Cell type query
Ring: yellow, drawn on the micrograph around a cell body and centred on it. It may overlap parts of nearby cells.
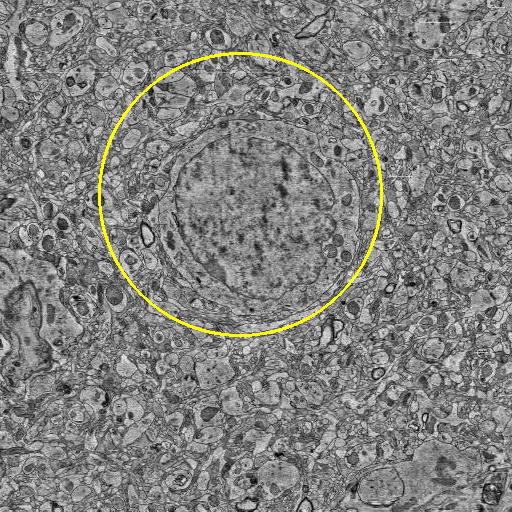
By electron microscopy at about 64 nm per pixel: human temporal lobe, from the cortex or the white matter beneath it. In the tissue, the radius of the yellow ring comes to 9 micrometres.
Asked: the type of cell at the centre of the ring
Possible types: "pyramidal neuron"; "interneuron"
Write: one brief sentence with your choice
The ring marks an interneuron.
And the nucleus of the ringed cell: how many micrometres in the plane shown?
The nucleus comes to roughly 11 by 10 micrometres in this plane.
